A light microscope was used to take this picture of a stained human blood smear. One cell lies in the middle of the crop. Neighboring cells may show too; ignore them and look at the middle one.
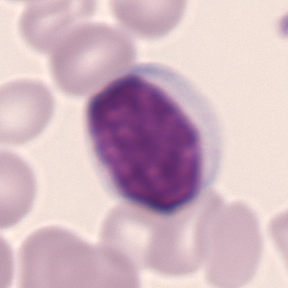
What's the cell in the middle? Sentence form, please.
This particular crop is centered on a large granular lymphocyte.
